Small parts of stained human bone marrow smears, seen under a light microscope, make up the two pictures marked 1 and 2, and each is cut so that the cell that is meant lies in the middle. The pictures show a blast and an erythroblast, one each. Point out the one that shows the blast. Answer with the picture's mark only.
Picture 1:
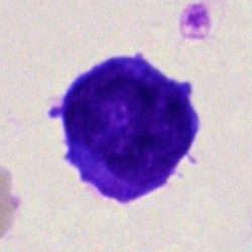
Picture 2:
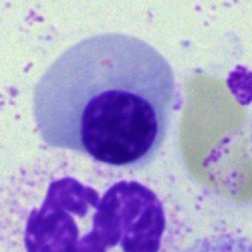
1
